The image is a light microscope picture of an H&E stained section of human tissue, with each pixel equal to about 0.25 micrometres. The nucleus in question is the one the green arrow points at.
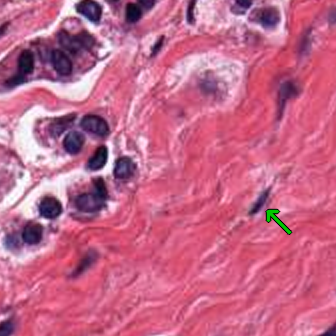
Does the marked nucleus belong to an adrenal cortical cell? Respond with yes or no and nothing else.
no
